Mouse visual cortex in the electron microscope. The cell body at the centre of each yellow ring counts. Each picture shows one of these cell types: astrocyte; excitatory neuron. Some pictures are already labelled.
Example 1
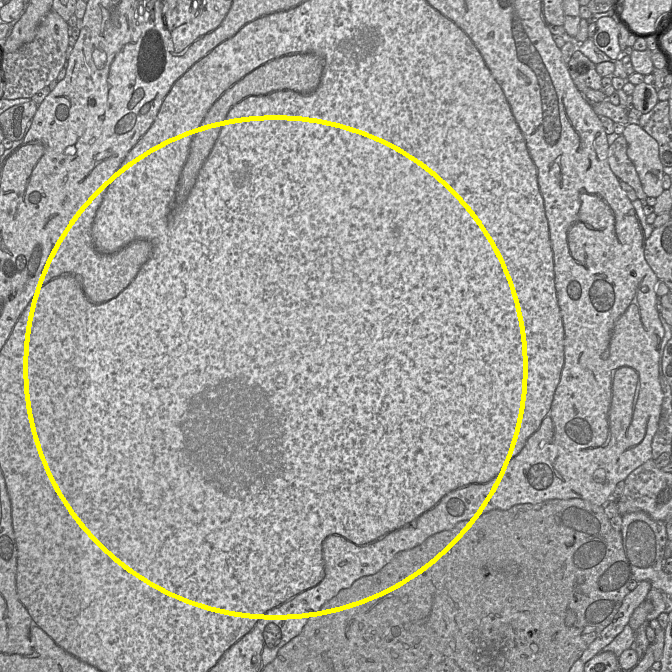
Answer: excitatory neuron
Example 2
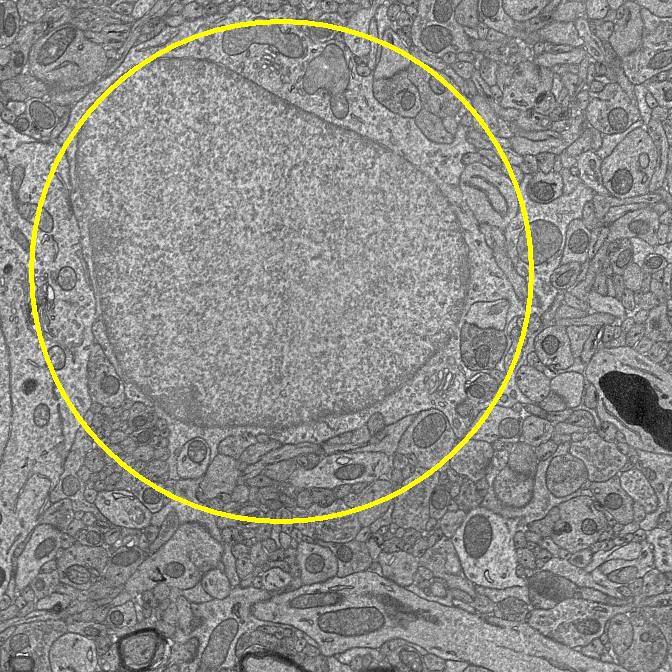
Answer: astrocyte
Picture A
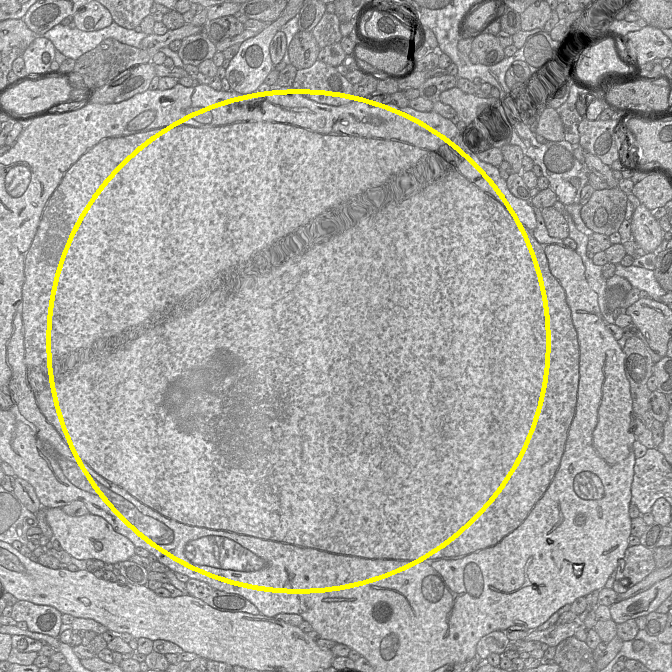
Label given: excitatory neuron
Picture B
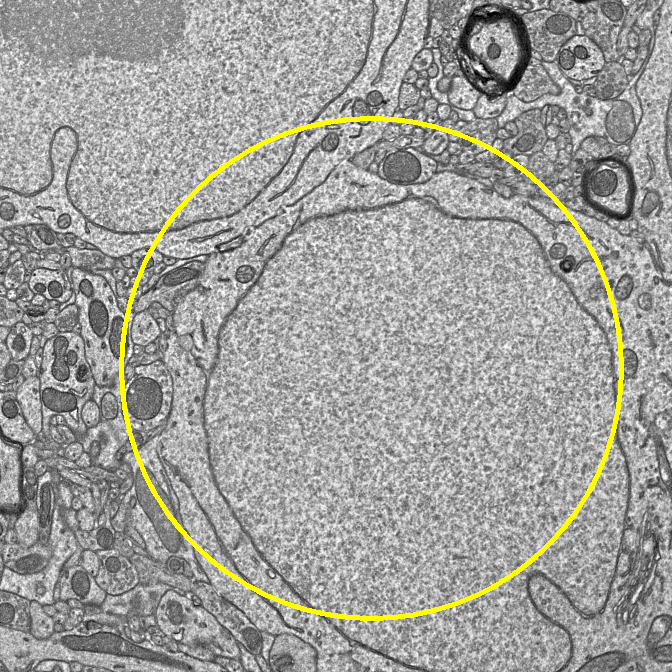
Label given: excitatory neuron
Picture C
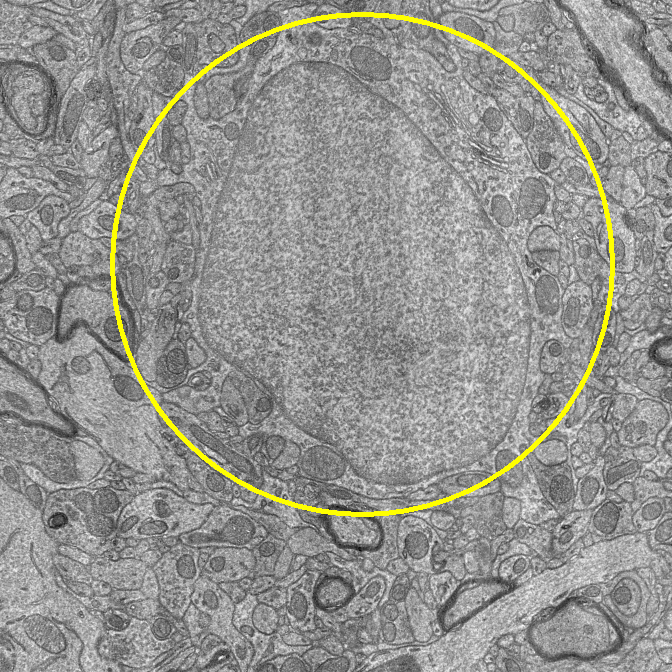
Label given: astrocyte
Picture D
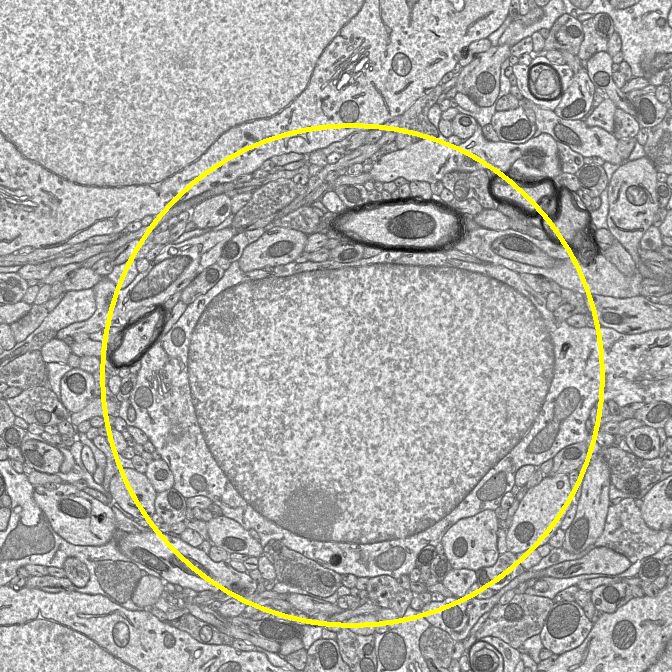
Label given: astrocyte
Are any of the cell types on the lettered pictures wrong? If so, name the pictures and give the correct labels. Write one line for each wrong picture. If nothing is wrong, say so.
All labels are correct.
